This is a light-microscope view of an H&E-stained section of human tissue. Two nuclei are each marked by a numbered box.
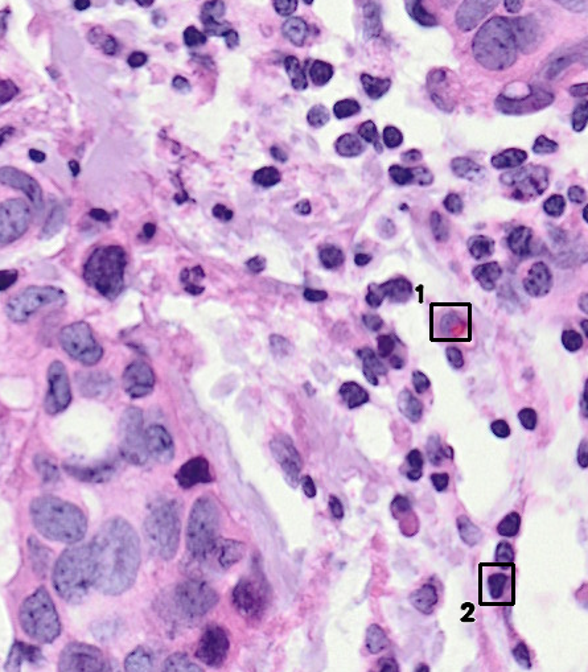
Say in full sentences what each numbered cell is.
Cell 1 is an endothelial cell. Cell 2 is a lymphocyte.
